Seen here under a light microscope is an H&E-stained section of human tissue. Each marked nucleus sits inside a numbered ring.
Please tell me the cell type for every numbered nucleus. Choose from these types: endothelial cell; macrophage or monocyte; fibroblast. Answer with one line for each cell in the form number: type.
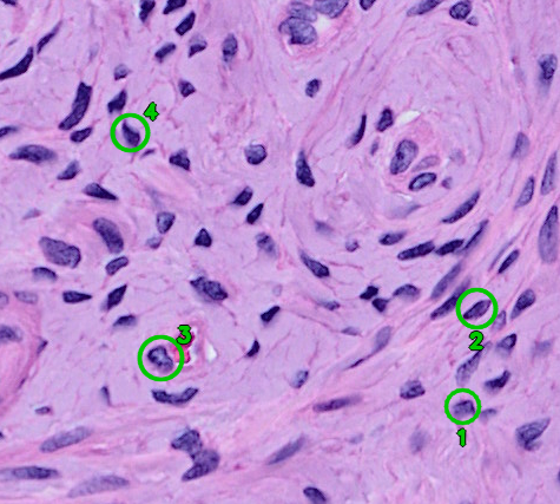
1: fibroblast
2: fibroblast
3: endothelial cell
4: fibroblast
